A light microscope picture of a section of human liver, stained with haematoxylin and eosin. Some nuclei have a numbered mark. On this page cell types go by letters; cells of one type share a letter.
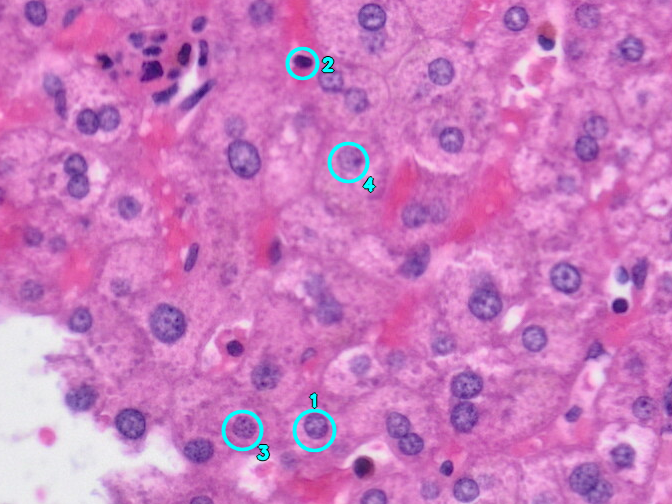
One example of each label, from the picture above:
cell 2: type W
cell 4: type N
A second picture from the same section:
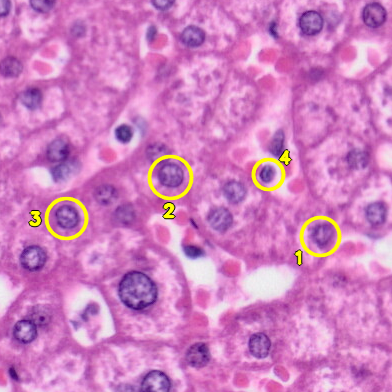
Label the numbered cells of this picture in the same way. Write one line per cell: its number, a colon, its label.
1: type N
2: type N
3: type N
4: type W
